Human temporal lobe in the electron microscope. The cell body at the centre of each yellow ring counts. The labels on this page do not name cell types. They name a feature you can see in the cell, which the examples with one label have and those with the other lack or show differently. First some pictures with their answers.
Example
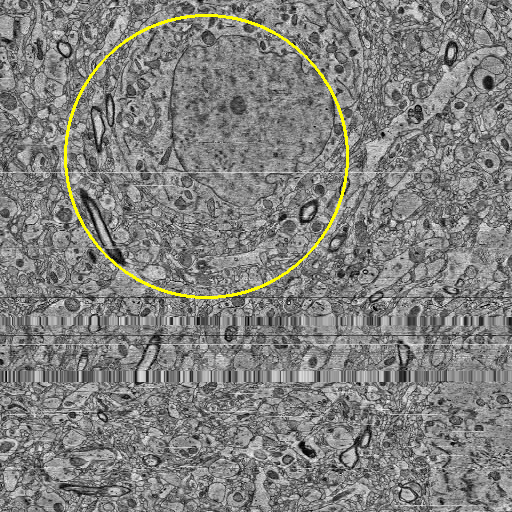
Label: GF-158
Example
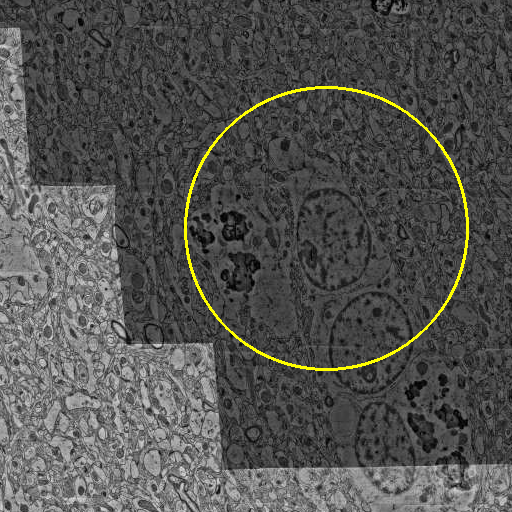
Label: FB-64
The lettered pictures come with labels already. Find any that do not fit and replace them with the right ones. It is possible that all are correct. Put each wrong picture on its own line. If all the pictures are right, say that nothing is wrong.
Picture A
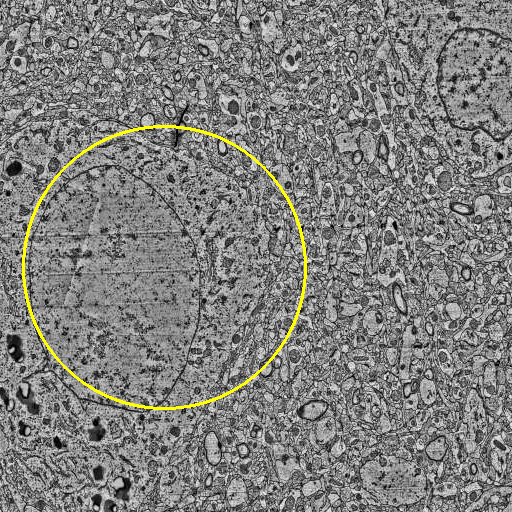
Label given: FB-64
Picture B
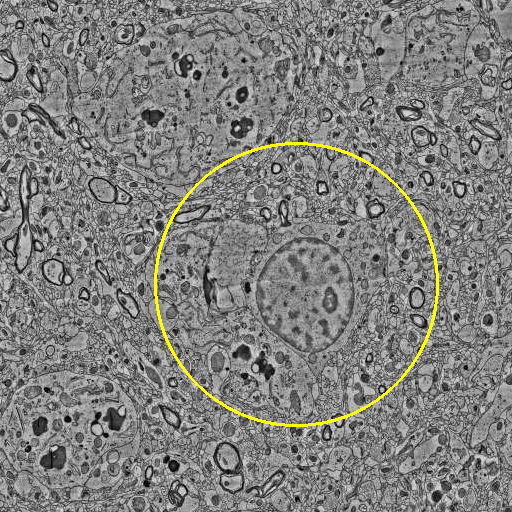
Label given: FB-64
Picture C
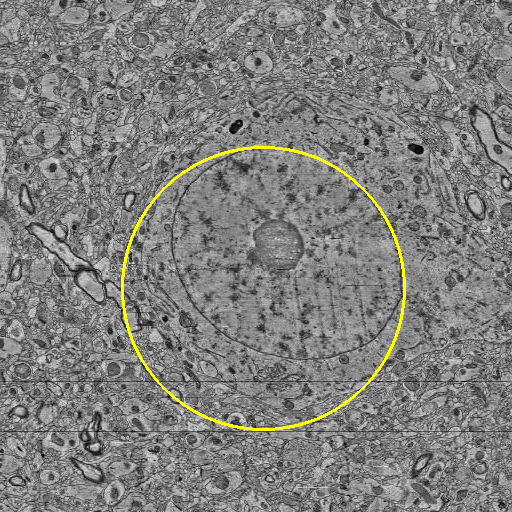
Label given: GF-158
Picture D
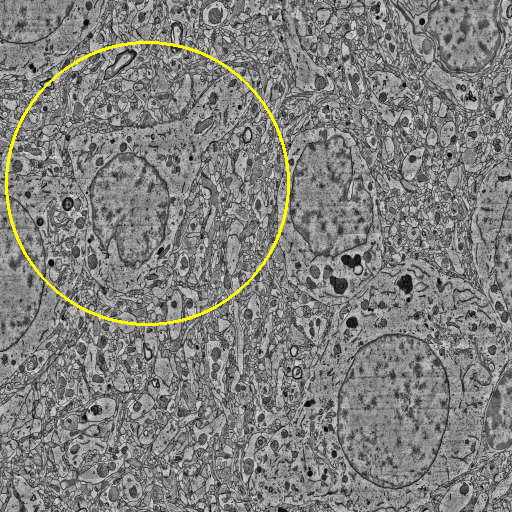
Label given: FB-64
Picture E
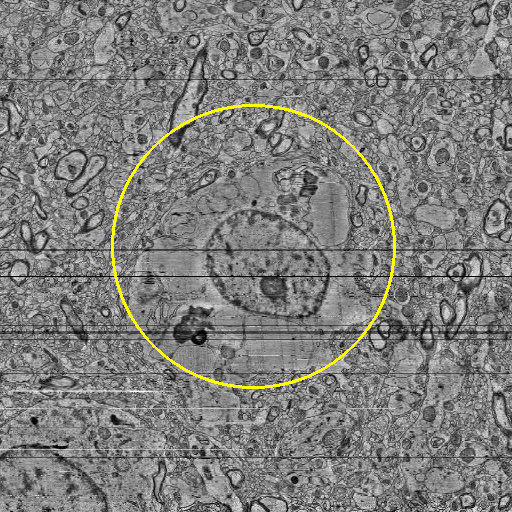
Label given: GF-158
B: not FB-64 but GF-158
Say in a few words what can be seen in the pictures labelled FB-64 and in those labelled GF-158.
FB-64, no nucleolus seen; GF-158, nucleolus seen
